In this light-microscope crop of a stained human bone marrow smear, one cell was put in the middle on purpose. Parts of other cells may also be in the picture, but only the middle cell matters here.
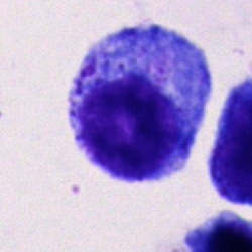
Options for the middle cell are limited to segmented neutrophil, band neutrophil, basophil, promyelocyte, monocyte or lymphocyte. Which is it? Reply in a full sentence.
The cell the crop is centered on is a promyelocyte.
